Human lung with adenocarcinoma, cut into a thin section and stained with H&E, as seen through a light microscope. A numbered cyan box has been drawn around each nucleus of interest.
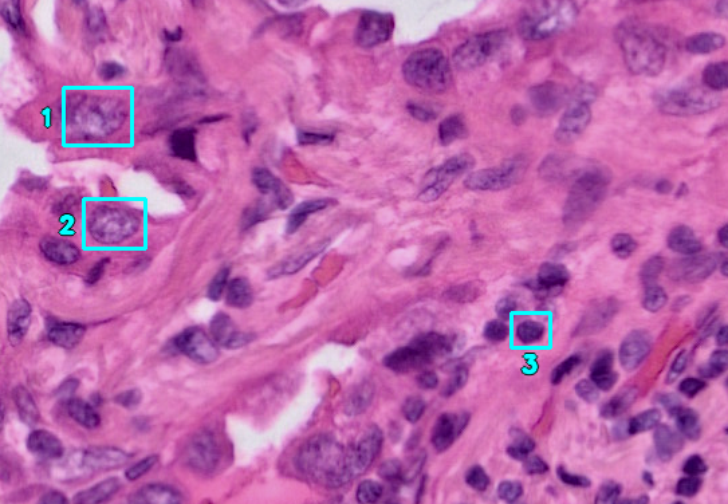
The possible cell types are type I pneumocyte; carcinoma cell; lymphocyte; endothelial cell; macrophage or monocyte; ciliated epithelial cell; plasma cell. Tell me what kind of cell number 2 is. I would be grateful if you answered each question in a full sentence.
In this section, number 2 marks a carcinoma cell.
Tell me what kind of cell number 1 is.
The correct label for cell 1 is a carcinoma cell.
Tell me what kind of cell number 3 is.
Among the marked nuclei, number 3 belongs to a lymphocyte.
